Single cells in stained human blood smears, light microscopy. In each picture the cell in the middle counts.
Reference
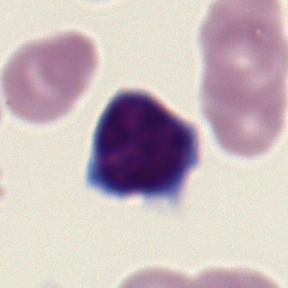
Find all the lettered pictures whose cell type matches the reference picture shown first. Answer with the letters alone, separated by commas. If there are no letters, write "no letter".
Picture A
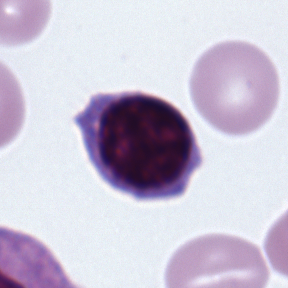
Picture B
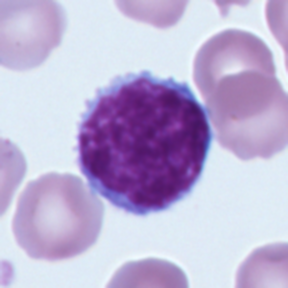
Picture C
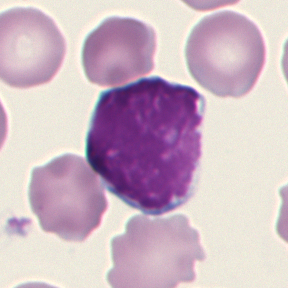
A, B, C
